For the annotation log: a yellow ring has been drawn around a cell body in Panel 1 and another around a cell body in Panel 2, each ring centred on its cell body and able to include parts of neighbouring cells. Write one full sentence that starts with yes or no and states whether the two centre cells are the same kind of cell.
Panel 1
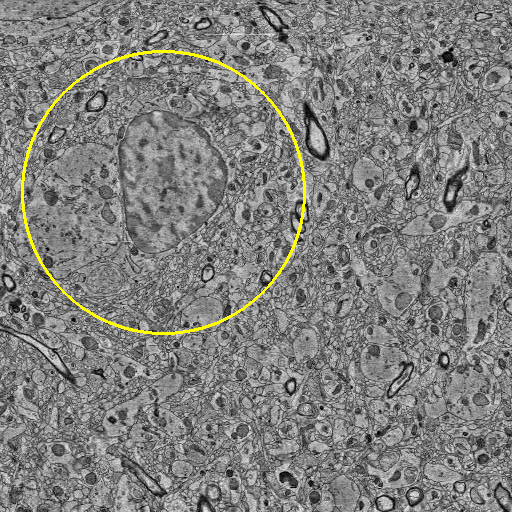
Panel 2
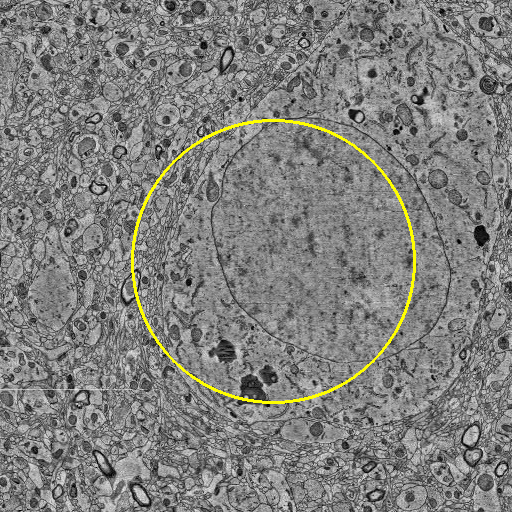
No, the two centre cells are two kinds of cell.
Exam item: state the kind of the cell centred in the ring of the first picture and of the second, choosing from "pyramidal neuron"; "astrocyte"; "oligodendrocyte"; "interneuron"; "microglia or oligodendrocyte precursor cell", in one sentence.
The first picture shows a microglial cell or oligodendrocyte precursor cell at the ring centre and the second shows a pyramidal neuron.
